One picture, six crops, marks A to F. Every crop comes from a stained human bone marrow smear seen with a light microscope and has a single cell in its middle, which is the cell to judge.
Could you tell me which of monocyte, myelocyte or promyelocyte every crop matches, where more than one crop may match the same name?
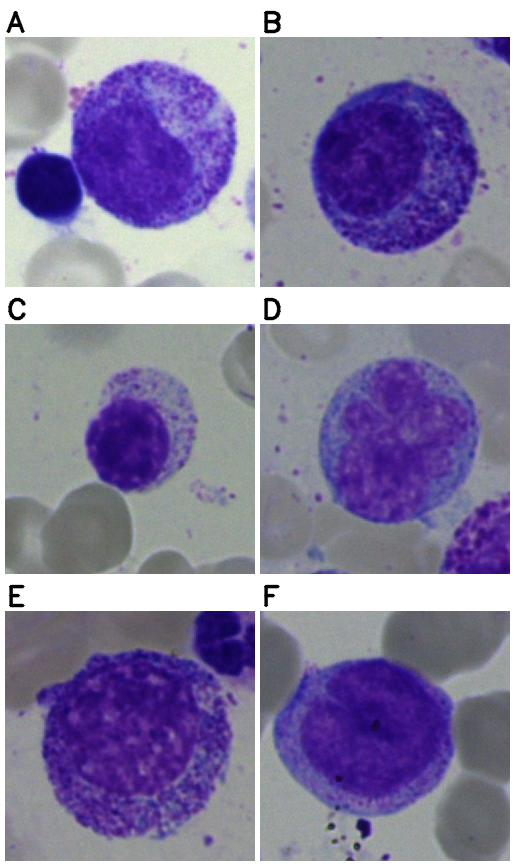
A: promyelocyte
B: promyelocyte
C: myelocyte
D: monocyte
E: promyelocyte
F: promyelocyte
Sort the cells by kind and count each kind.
promyelocyte: 4
myelocyte: 1
monocyte: 1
